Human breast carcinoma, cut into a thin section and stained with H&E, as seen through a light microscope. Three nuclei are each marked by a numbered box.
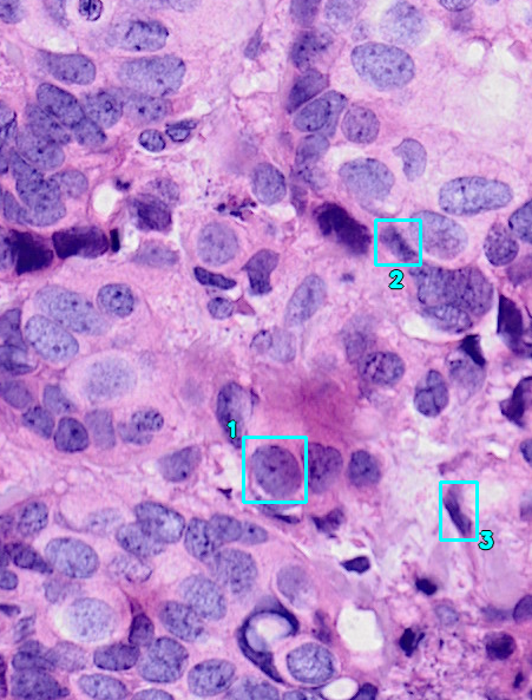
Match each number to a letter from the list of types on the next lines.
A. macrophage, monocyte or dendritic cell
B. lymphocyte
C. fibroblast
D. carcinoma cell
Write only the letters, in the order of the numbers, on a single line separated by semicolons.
D; D; C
